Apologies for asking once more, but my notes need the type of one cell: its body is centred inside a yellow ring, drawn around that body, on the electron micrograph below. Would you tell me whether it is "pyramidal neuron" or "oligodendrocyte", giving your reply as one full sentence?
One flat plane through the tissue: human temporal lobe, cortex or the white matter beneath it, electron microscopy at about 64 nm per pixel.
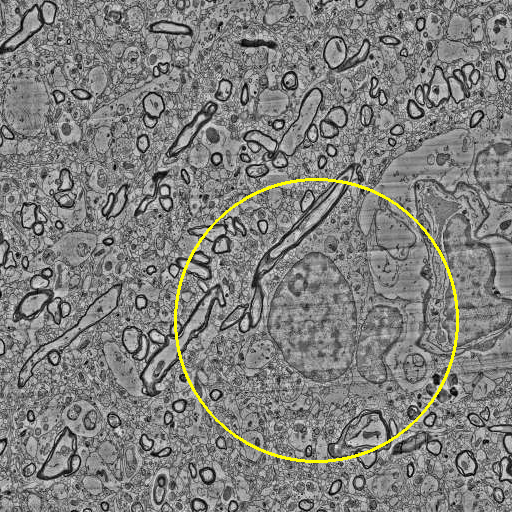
The cell that the yellow ring is centred on is an oligodendrocyte in this micrograph.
